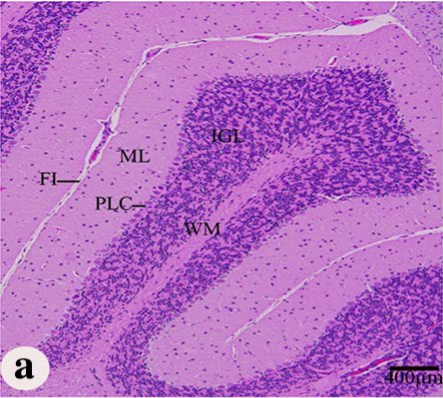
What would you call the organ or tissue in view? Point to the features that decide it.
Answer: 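Cerebellum cortex. Folded folia with a central core of pale fibrous tissue. A broad band of densely packed small dark nuclei around the core. A wide pale outer layer with sparse nuclei.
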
